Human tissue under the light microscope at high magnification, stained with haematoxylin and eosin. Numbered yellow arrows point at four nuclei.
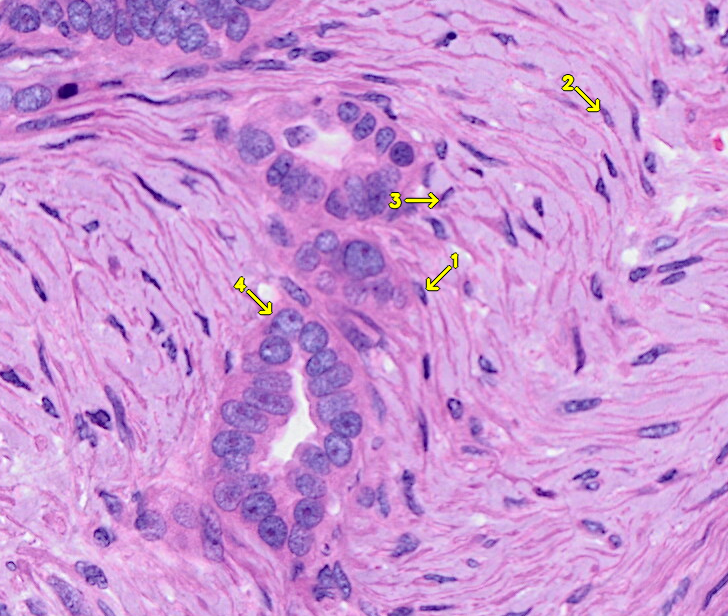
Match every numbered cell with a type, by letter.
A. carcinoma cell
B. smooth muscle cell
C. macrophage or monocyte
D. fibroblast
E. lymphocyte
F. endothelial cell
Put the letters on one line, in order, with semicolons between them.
D; D; D; A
